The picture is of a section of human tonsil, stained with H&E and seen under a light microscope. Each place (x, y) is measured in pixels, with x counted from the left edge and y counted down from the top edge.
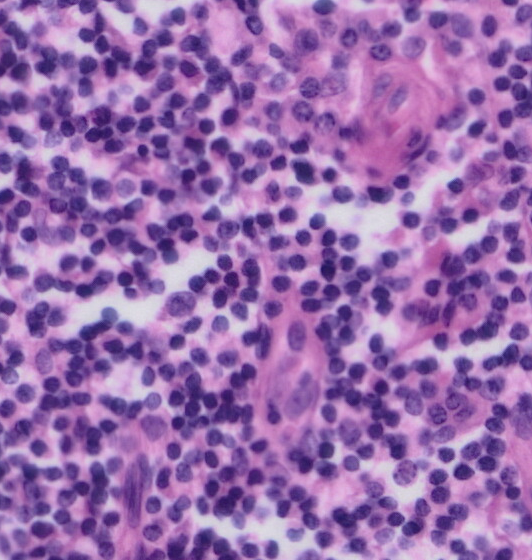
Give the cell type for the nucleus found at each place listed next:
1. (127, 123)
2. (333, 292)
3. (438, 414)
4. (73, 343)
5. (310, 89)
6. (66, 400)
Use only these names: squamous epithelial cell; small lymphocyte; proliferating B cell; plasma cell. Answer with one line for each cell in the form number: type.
1: small lymphocyte
2: small lymphocyte
3: plasma cell
4: small lymphocyte
5: plasma cell
6: small lymphocyte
